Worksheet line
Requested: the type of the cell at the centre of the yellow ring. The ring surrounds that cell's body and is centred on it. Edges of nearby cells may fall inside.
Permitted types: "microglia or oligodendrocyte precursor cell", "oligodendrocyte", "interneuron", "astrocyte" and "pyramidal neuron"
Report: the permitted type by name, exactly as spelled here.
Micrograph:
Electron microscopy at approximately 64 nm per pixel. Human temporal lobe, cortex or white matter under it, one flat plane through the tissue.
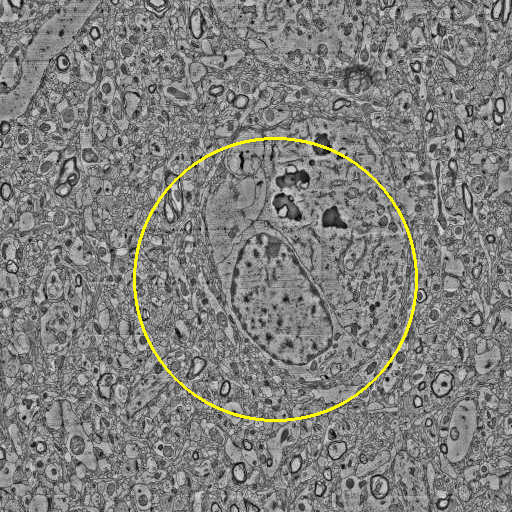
microglia or oligodendrocyte precursor cell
